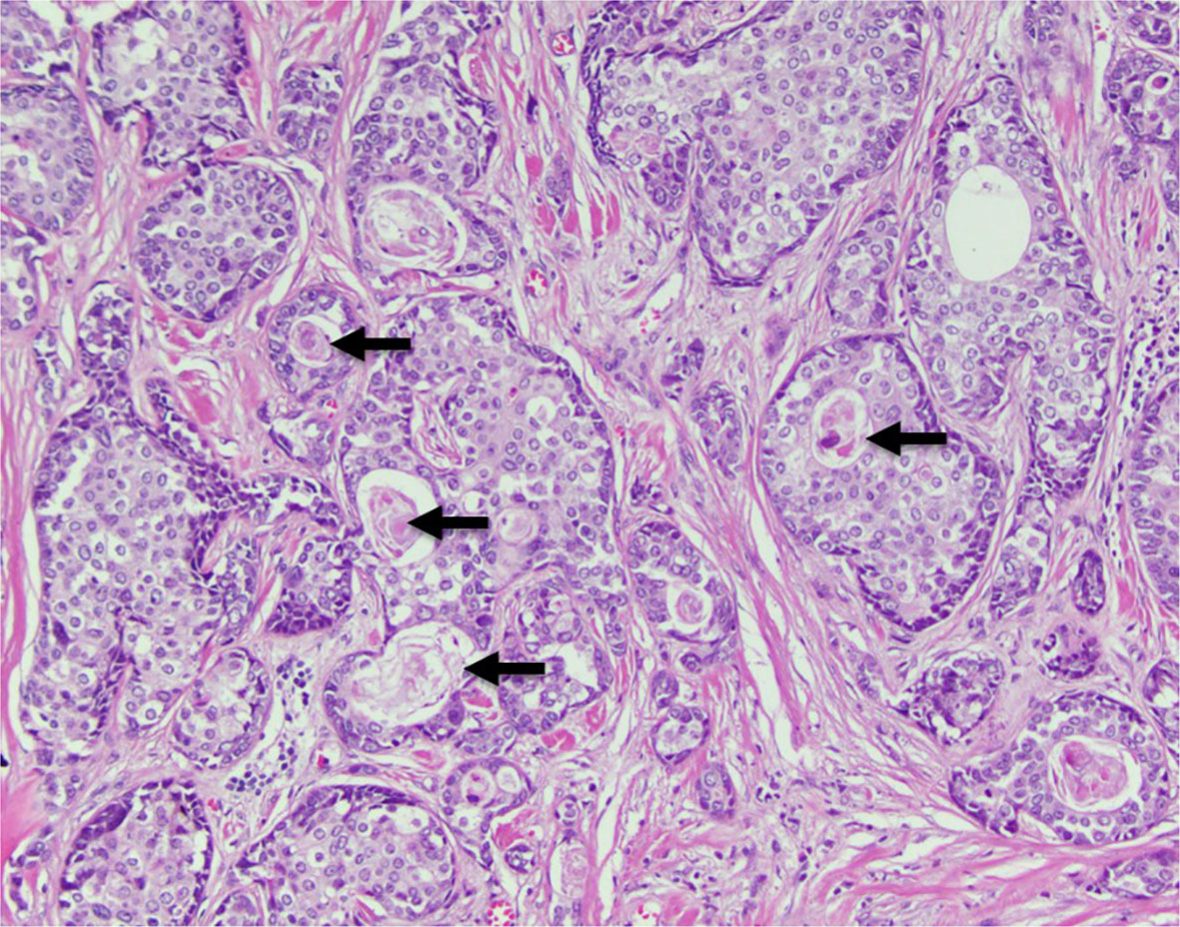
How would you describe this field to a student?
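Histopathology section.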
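This section shows epithelial cells growing in rounded nests of varying size, separated by bands of pink fibrous stroma. The cells within the nests look fairly uniform, with round to oval nuclei and a moderate amount of pale clear to pink cytoplasm. The cells at the edges of some nests have darker, more crowded nuclei. In the centres of several nests lie islands of pale pink lamellated keratin, set off sharply from the surrounding cells.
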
